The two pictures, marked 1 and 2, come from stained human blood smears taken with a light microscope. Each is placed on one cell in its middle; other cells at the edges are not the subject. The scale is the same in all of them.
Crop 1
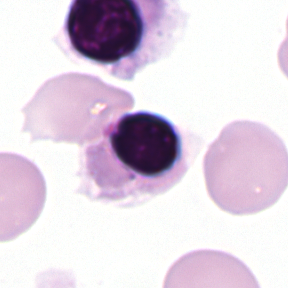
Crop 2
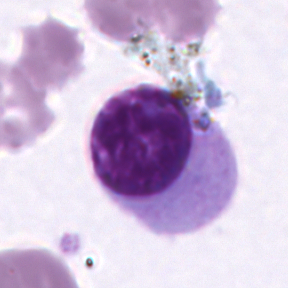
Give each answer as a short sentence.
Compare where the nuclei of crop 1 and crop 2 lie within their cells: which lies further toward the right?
In crop 1 the nucleus is shifted more toward the right.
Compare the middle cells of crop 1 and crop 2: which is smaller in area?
It is the cell in crop 1; the cell in crop 2 has about 2.5 times its area.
